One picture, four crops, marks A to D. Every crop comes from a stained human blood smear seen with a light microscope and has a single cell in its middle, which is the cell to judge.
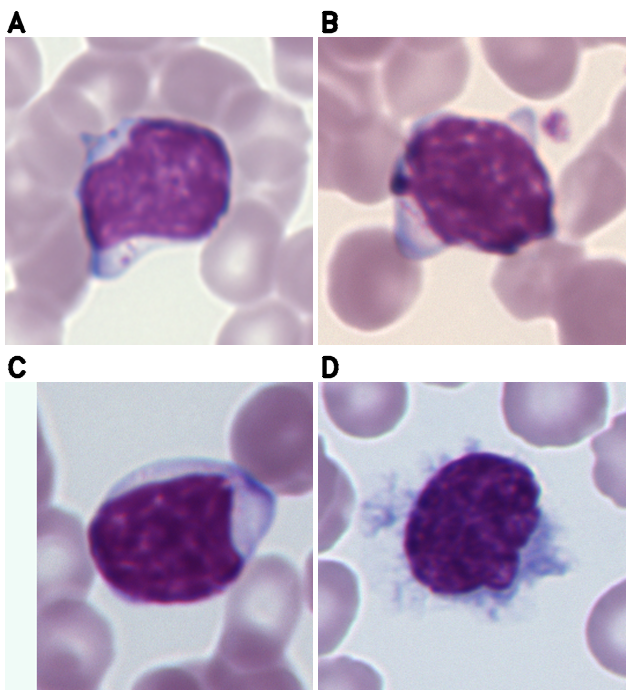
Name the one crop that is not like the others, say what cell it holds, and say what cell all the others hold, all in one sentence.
Crop D shows a hairy cell, while all of the others show large granular lymphocytes.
